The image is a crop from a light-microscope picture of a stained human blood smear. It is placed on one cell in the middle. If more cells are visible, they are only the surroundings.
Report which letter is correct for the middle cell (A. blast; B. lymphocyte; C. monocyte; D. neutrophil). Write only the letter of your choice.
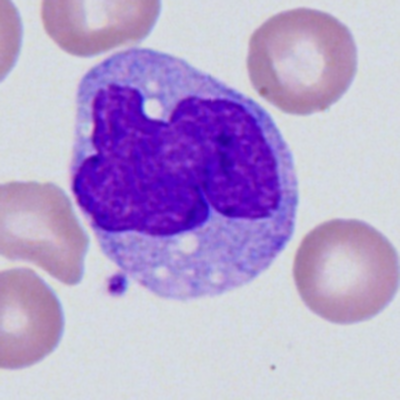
C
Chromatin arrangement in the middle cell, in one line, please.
In this cell the chromatin is fine rather than coarsely clumped.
